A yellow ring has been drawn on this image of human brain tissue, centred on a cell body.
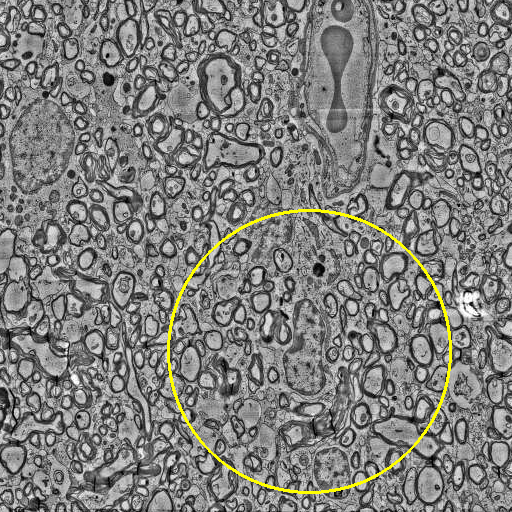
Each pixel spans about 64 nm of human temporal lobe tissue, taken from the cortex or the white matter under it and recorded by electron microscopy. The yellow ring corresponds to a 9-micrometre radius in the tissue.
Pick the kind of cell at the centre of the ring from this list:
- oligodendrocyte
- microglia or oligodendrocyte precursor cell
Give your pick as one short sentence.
The centre of the ring holds a microglial cell or oligodendrocyte precursor cell.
